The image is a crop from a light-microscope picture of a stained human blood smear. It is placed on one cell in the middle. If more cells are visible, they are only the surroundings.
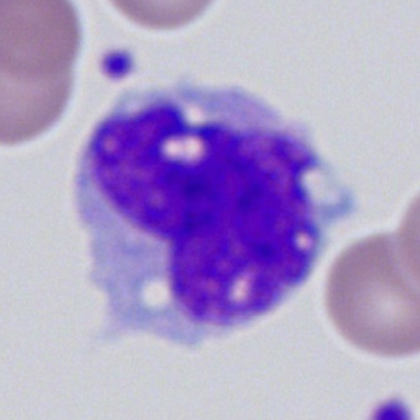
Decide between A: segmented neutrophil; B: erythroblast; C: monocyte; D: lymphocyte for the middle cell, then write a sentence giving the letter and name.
Option C holds, for the cell in the middle is a monocyte.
